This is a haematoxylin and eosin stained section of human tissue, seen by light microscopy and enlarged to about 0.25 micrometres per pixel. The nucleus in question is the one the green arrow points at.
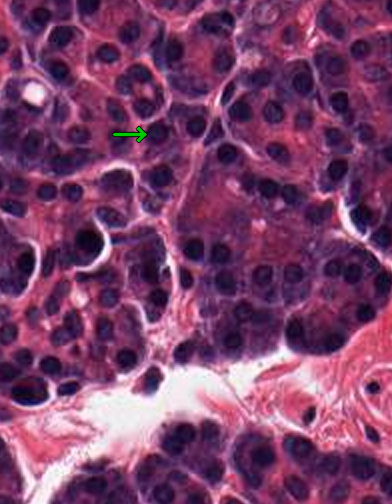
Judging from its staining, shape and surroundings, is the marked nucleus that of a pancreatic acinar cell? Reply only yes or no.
yes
